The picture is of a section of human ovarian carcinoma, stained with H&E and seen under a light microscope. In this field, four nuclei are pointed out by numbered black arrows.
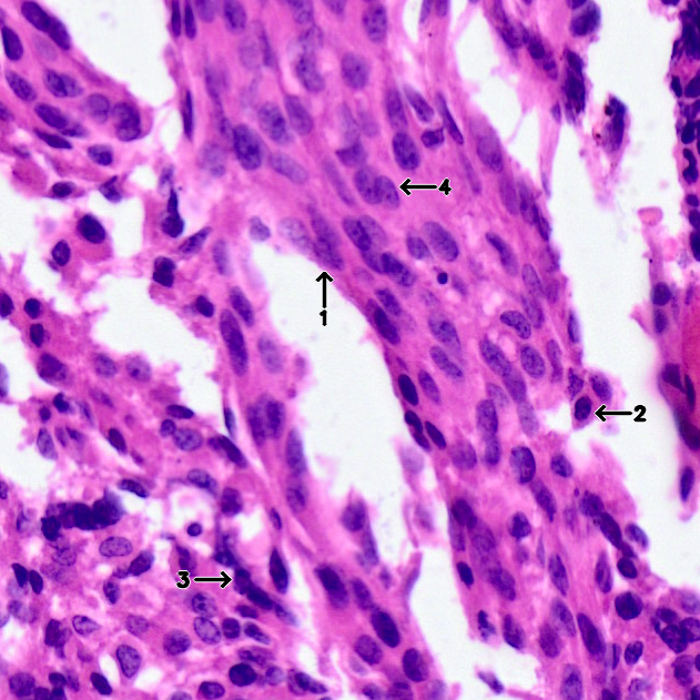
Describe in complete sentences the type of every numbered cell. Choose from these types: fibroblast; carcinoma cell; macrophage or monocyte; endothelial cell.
Cells 1, 3 and 4 are carcinoma cells. Cell 2 is a macrophage or monocyte.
